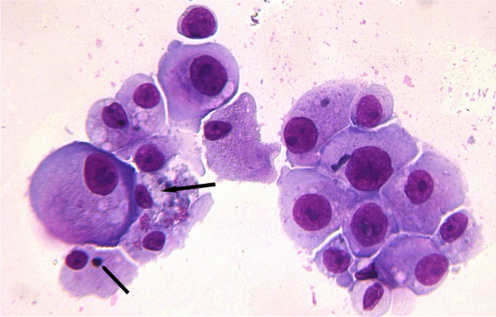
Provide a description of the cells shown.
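Two loose groups of large rounded and polygonal epithelial cells with ample lilac cytoplasm and sharply outlined cell borders. Nuclei are round, purple and mostly central, some with visible nucleoli, and vary considerably in size from cell to cell. One very large cell at the left has abundant cytoplasm relative to its nucleus. Among the cells lie small dense dark round bodies and a patch of fine dark fragments.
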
